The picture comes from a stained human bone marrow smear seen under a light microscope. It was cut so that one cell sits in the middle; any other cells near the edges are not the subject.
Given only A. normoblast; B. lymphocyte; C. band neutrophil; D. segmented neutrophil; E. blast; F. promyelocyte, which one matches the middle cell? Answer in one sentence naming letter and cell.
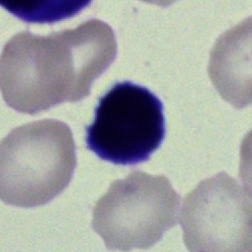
Identification: the cell in the middle is a lymphocyte, matching option B.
